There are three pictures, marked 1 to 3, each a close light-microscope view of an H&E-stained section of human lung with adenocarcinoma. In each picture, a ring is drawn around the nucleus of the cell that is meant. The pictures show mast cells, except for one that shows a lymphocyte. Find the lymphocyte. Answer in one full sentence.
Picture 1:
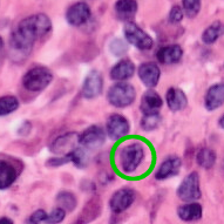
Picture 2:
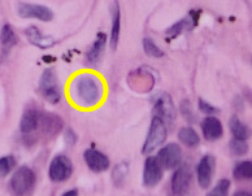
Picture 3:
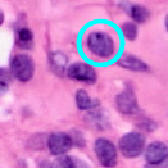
The picture with the lymphocyte is 1.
